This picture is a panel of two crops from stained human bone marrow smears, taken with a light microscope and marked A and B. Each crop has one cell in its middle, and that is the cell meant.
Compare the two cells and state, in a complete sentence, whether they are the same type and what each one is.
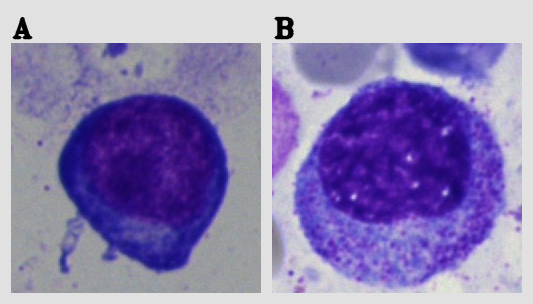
No, a proerythroblast is the cell in crop A; a promyelocyte is the cell in crop B.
